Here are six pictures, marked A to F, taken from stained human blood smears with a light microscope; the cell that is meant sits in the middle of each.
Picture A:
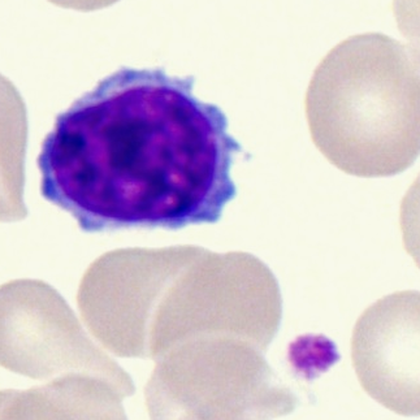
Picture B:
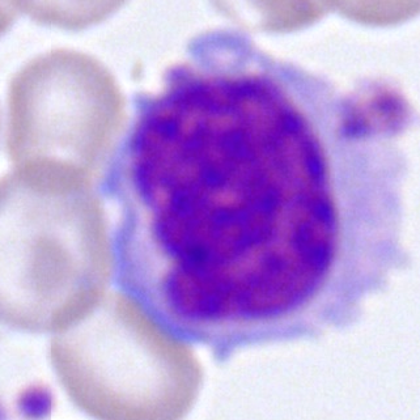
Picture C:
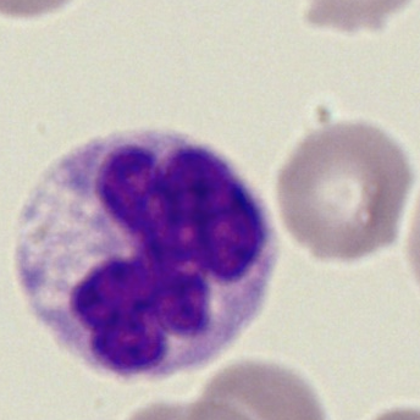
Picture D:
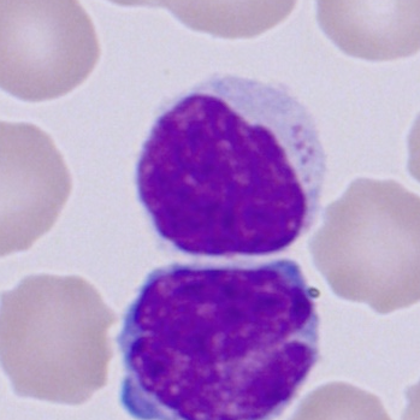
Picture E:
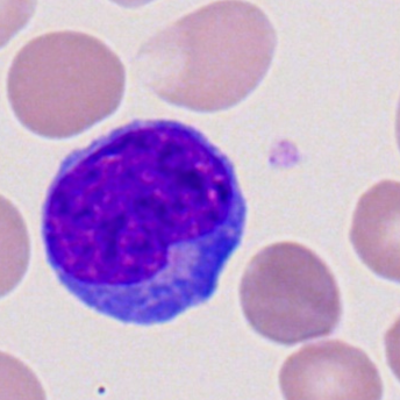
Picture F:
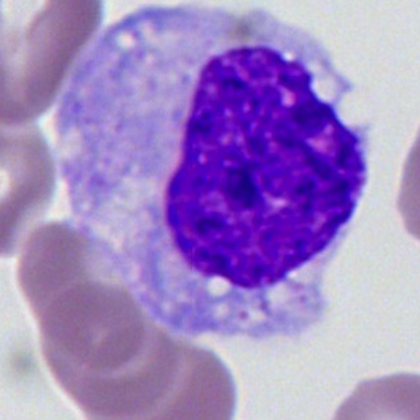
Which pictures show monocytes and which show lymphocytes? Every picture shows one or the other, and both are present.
A: lymphocyte
B: monocyte
C: monocyte
D: lymphocyte
E: lymphocyte
F: monocyte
